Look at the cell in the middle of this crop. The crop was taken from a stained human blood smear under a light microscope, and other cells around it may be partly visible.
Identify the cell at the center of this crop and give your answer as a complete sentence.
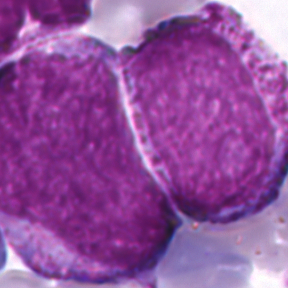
As for the central cell, it is a promyelocyte.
